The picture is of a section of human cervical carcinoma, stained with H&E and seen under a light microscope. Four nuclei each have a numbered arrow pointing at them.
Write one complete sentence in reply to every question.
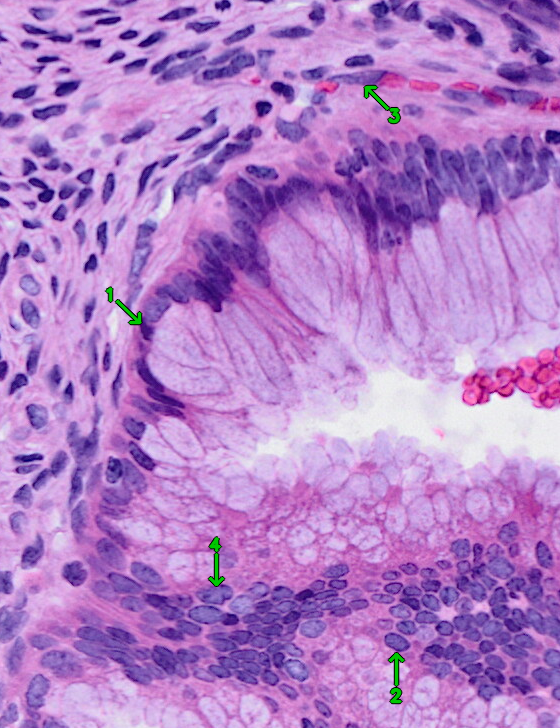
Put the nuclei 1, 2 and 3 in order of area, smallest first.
Smallest first, the nuclei run 1, 2, 3.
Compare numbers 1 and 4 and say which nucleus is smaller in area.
With nucleus 4 about 3 times its size, nucleus 1 is the smaller of the two.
